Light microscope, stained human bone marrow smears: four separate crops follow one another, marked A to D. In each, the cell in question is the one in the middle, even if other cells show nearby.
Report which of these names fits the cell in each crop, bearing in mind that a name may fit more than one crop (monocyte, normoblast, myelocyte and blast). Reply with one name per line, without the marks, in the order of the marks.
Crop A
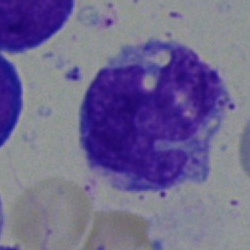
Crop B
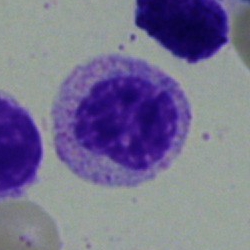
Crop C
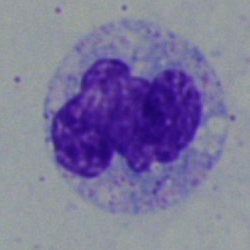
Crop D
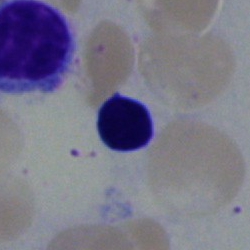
monocyte
myelocyte
monocyte
normoblast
